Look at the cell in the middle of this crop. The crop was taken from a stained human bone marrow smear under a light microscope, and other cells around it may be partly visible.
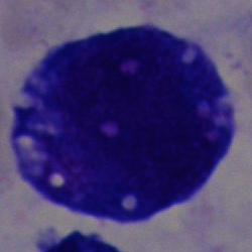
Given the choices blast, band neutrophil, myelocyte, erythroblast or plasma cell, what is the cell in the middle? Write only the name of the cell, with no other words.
blast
